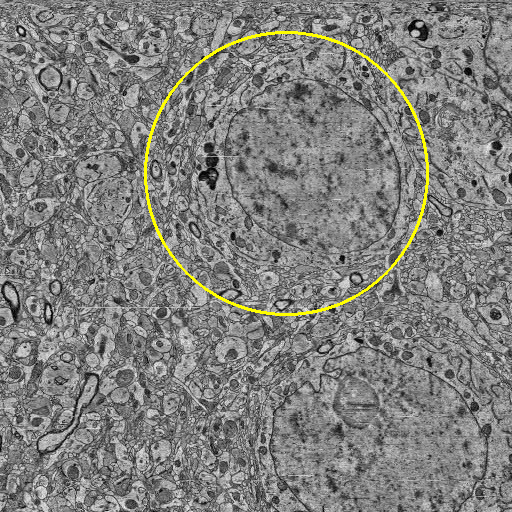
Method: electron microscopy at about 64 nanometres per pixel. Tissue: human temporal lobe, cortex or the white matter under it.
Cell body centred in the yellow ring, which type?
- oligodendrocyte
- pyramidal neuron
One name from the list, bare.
pyramidal neuron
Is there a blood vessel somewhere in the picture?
No, no vessel shows anywhere in the image.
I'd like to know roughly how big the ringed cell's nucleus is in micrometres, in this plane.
Approximately 12 by 11 micrometers in this plane.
